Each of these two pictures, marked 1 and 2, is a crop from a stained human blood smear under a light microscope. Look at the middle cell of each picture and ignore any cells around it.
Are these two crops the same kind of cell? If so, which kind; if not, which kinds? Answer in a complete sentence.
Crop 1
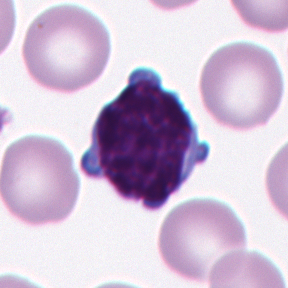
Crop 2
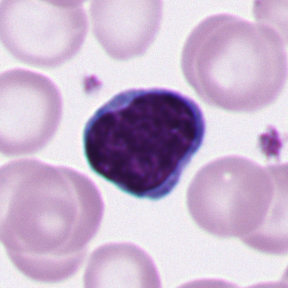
Yes, the cells that both crops show at the centre are lymphocytes.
